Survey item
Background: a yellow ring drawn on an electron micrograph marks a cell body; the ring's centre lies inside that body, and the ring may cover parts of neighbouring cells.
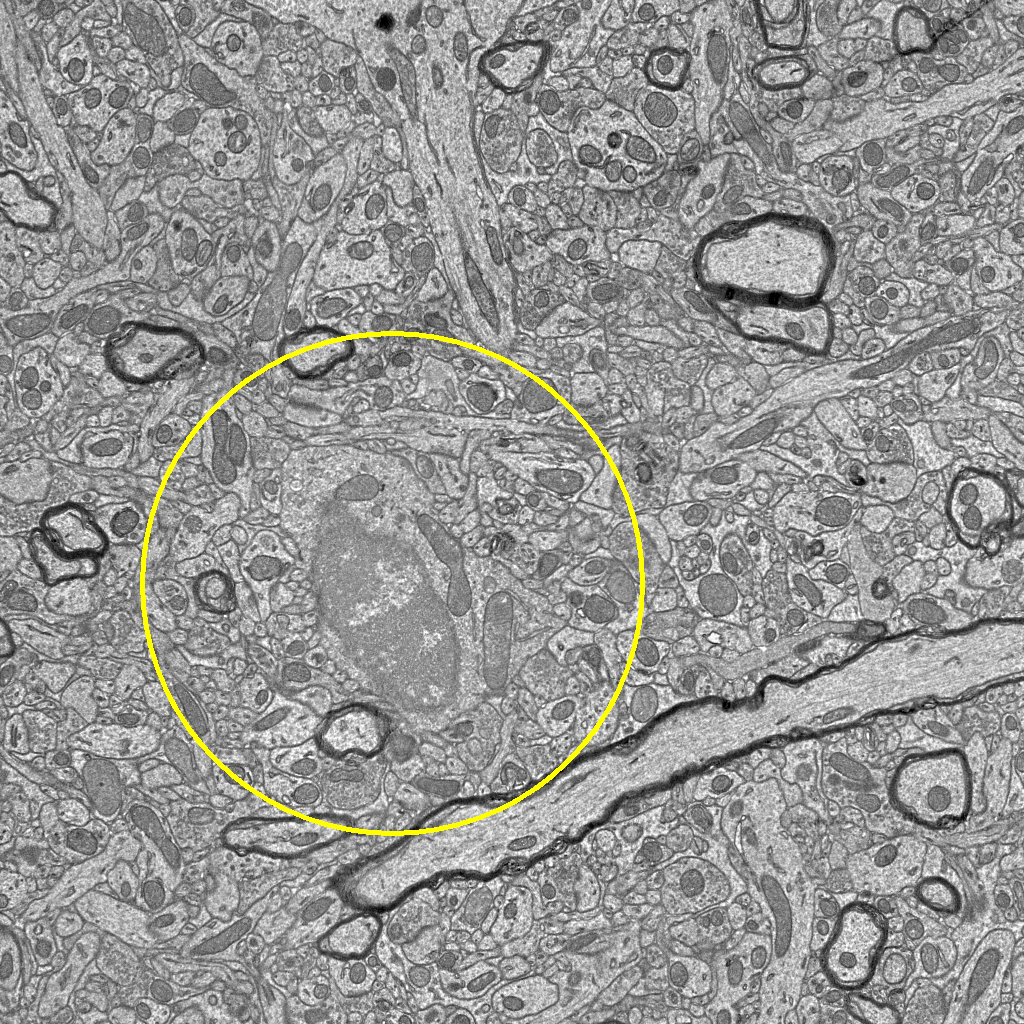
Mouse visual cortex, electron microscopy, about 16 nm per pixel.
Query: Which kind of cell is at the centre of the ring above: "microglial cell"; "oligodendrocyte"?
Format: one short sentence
The cell in the middle of the ring is an oligodendrocyte.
